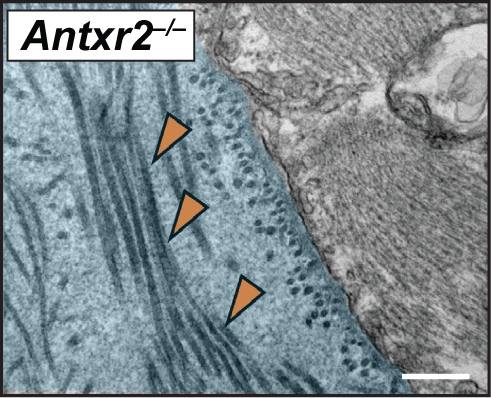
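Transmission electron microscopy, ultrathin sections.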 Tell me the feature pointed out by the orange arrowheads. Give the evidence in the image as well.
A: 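Fibrillar collagens. Long parallel electron-dense fibrils run in bundles in the shaded space. The bundles lie outside the striated fiber at right.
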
